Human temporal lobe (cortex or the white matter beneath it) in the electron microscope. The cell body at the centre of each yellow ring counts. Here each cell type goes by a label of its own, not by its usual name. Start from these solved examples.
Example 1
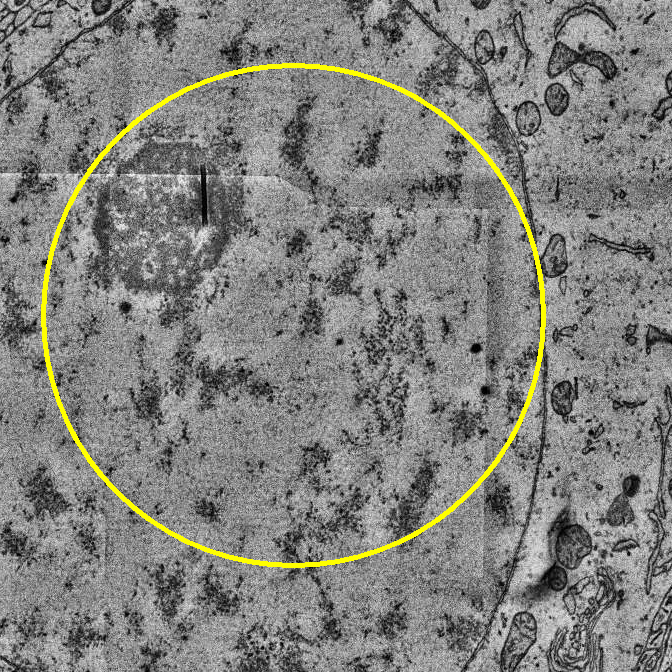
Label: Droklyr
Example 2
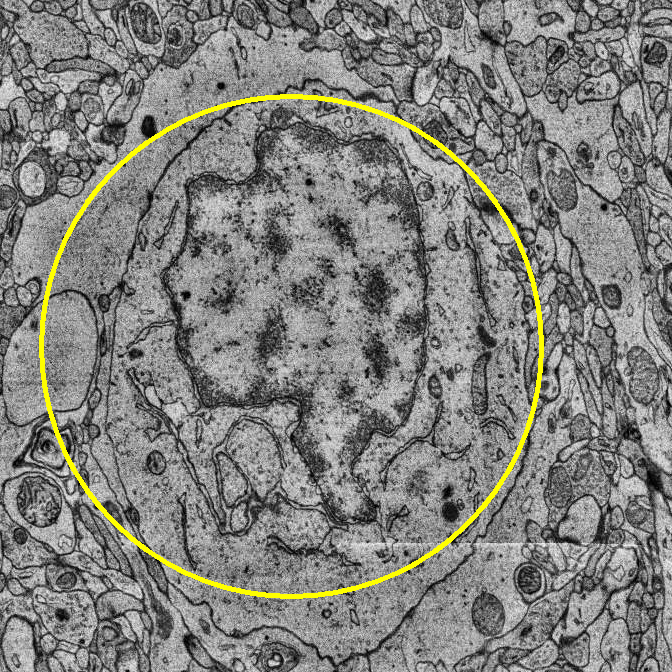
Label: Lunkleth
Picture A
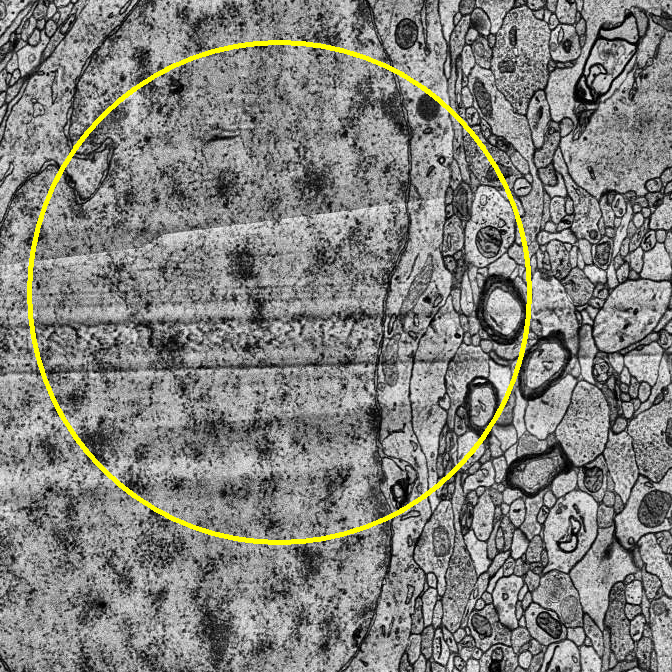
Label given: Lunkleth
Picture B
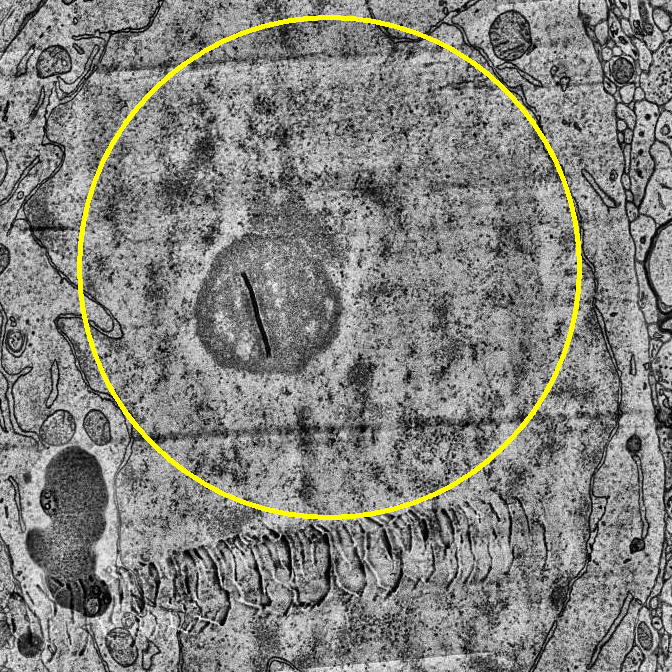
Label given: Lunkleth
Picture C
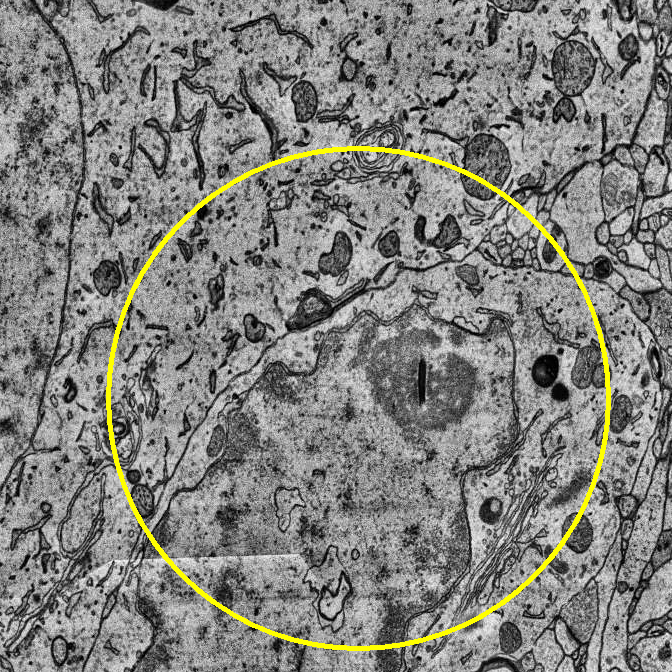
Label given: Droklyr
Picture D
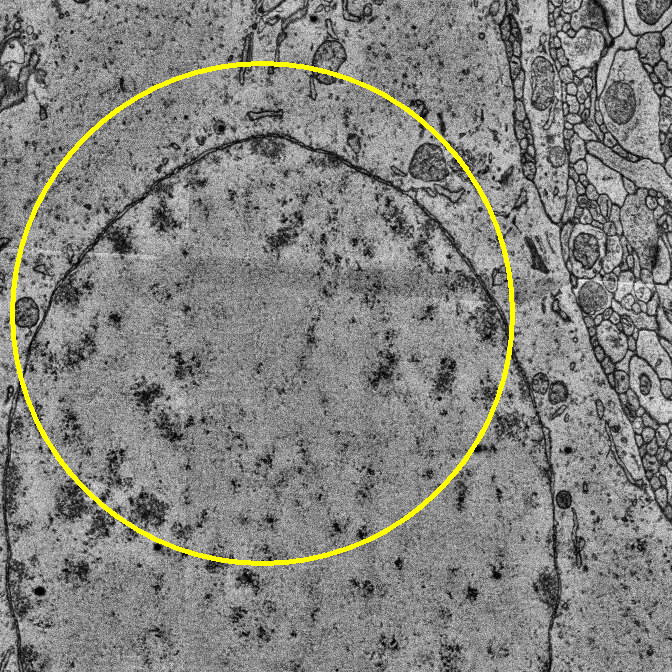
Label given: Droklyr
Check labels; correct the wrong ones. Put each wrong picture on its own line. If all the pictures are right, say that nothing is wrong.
C: not Droklyr but Lunkleth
